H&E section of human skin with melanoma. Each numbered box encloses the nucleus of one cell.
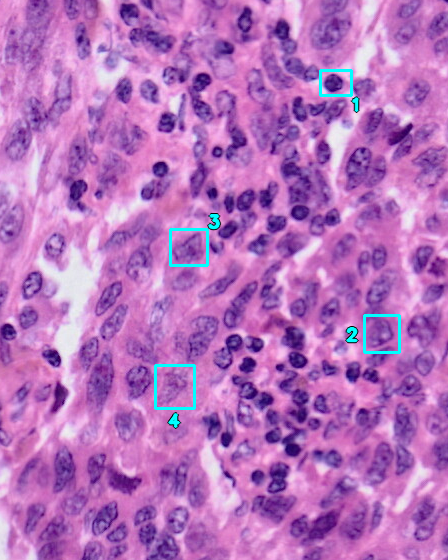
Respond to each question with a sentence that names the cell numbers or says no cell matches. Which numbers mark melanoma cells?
The cells numbered 2, 3 and 4 fall into the category of melanoma cells.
